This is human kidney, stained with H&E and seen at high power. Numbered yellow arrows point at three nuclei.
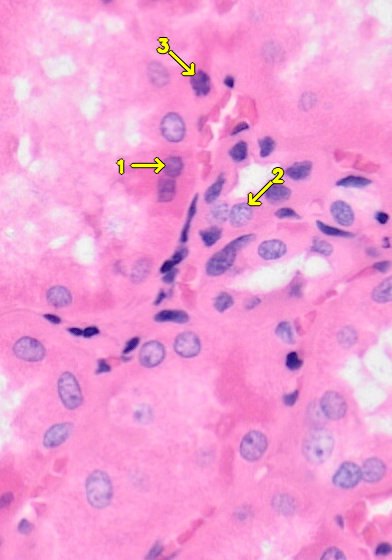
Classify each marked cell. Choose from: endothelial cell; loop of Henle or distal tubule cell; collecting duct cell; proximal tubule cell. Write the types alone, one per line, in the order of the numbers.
proximal tubule cell
collecting duct cell
proximal tubule cell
